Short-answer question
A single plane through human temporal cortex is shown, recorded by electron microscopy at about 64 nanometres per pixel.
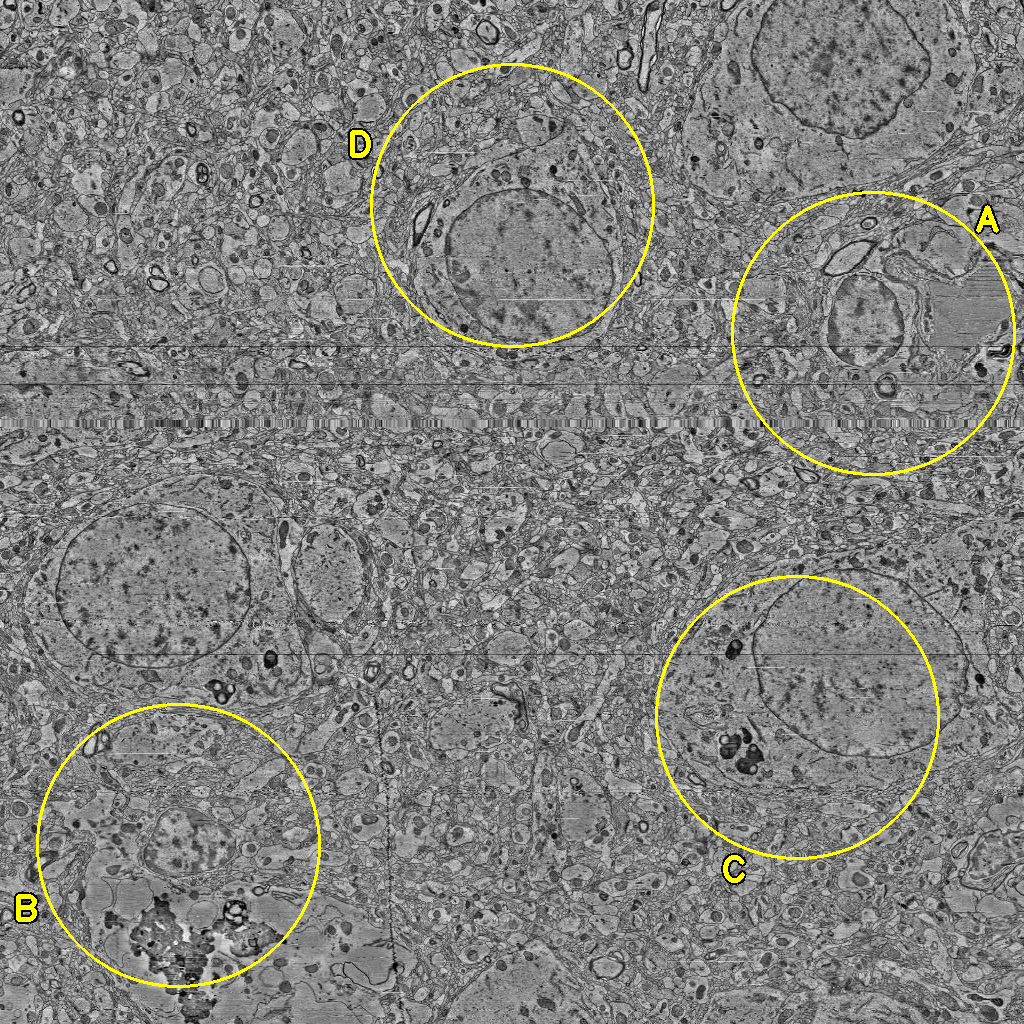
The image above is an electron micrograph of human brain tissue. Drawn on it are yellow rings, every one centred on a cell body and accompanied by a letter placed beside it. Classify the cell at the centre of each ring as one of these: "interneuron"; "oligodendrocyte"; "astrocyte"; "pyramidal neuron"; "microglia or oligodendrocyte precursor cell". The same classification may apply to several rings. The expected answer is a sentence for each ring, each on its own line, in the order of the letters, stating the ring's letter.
The cell at ring A is classified as a microglial cell or oligodendrocyte precursor cell.
The cell at ring B is classified as a microglial cell or oligodendrocyte precursor cell.
The cell at ring C is classified as a pyramidal neuron.
The cell at ring D is classified as a pyramidal neuron.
